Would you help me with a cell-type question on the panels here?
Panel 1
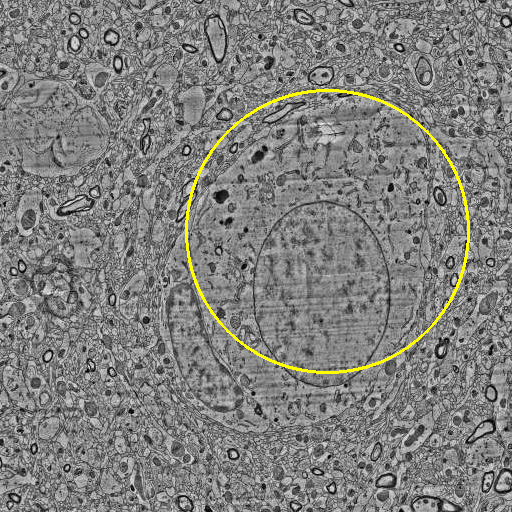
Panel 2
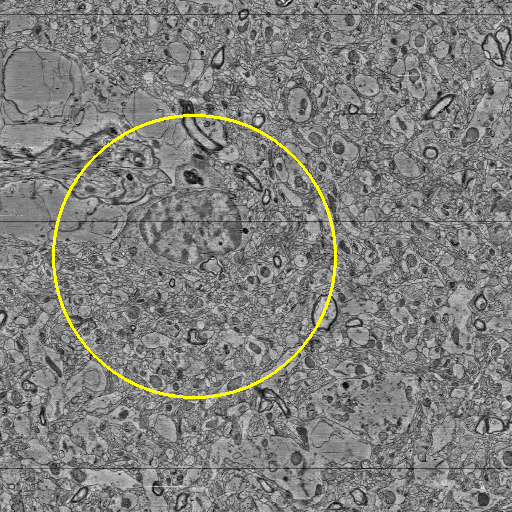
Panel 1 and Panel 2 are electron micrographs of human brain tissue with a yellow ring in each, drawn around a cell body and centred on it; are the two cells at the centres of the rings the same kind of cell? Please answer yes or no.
no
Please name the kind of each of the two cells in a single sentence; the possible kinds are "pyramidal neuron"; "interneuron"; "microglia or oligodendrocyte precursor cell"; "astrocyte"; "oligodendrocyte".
In the first picture the ring is centred on a pyramidal neuron, and in the second on an oligodendrocyte.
